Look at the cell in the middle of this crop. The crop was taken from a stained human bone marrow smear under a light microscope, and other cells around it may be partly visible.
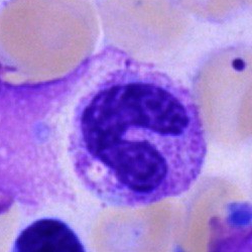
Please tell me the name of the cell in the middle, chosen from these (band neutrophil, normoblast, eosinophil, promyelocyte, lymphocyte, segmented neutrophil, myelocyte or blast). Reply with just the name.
band neutrophil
